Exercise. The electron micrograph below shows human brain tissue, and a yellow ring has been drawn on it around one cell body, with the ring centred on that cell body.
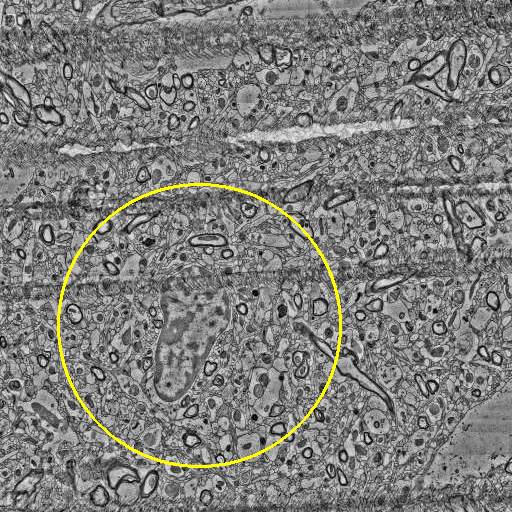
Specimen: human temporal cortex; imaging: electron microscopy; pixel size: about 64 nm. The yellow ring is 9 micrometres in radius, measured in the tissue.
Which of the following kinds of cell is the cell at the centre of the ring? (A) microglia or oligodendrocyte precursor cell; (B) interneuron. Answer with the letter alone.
A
